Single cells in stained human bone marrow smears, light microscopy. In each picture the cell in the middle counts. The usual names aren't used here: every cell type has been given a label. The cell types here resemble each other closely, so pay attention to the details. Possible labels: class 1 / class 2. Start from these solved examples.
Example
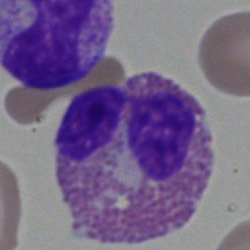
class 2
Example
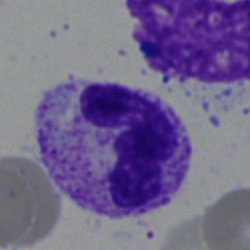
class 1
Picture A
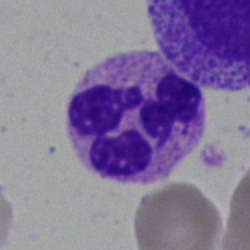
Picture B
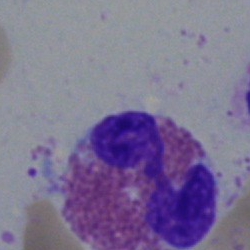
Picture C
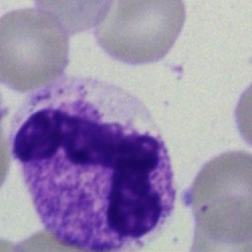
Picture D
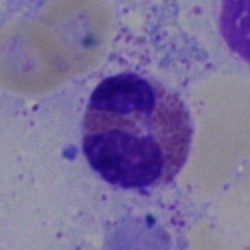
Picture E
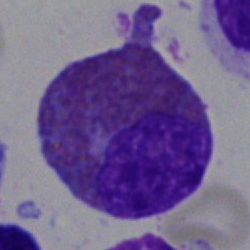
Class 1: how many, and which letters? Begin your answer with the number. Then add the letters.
Count: 2 (A, C)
